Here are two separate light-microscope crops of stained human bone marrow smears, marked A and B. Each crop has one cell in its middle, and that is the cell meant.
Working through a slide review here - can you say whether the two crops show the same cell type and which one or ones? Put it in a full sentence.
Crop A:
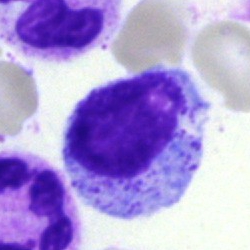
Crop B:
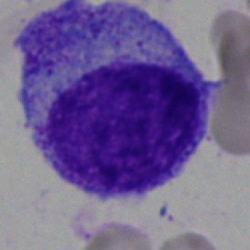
Yes, the cells at the centres of the two crops are myelocytes.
